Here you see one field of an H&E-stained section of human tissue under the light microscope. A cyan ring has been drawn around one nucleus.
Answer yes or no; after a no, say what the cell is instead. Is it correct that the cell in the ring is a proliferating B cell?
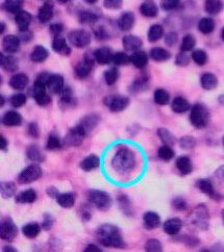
Yes.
